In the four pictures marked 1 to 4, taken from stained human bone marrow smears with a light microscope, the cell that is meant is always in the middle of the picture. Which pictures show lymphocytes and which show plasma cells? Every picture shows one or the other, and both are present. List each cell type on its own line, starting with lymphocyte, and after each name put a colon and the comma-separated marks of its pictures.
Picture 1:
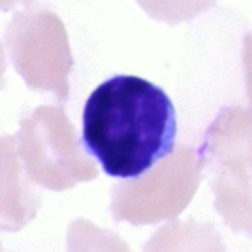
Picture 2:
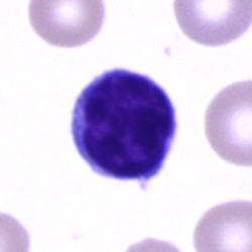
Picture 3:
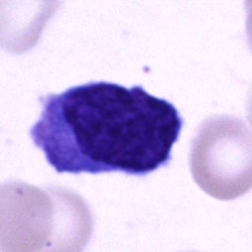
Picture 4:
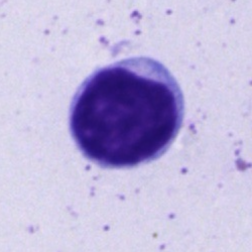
lymphocyte: 1, 2, 4
plasma cell: 3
